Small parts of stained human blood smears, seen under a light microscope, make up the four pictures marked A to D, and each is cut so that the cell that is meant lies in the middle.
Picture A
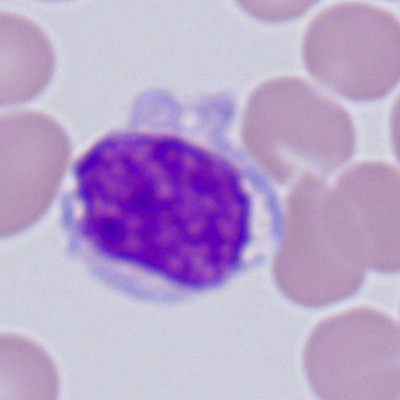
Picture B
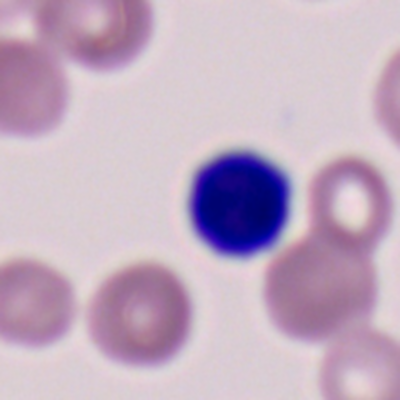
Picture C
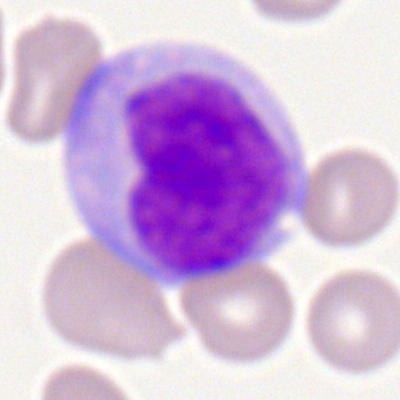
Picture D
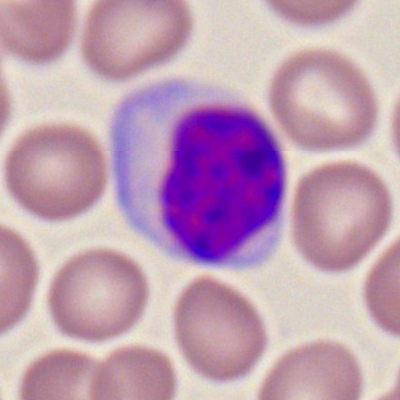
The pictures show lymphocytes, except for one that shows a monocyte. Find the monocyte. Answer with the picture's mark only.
C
